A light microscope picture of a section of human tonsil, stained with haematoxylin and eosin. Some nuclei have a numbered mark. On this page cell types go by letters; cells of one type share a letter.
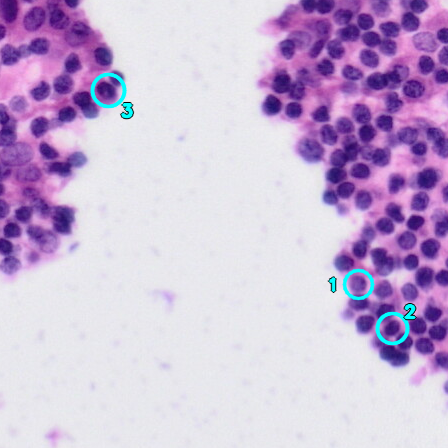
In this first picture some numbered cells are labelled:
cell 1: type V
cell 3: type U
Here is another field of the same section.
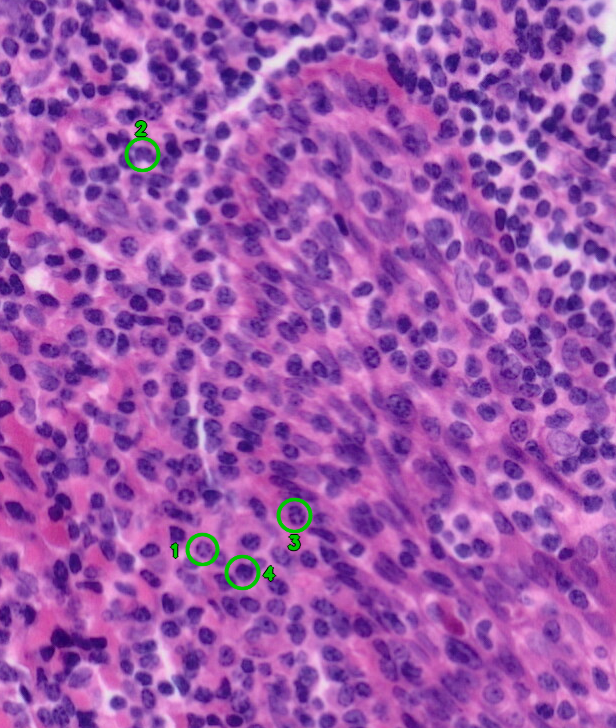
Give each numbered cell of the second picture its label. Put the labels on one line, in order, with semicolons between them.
type U; type V; type U; type U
